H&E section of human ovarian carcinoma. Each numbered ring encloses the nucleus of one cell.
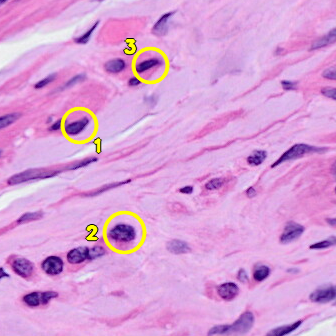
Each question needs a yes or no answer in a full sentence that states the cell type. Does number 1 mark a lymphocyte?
No, what is marked as number 1 is a smooth muscle cell rather than a lymphocyte.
